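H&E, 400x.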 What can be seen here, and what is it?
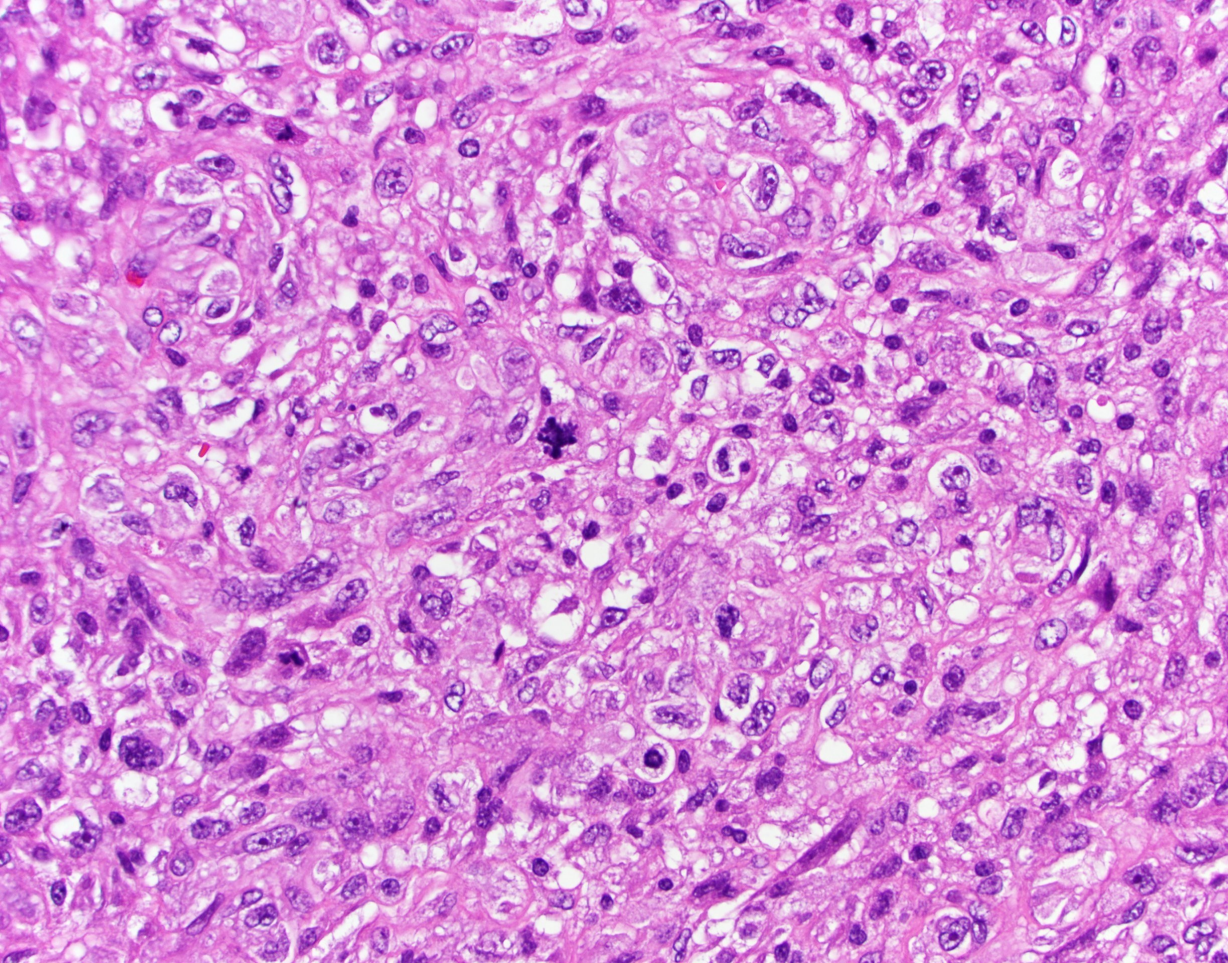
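This is a densely cellular tumour made of spindle-shaped to plump cells arranged in curving, whorled bundles. The cells have pink cytoplasm, often with clear vacuoles. Their nuclei are strikingly pleomorphic, ranging from small and round to large, elongated or folded, many with coarse chromatin and nucleoli. A dark, irregular atypical mitotic figure lies near the centre.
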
